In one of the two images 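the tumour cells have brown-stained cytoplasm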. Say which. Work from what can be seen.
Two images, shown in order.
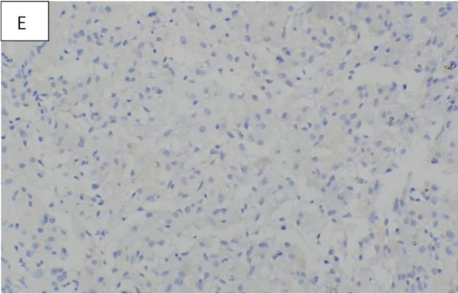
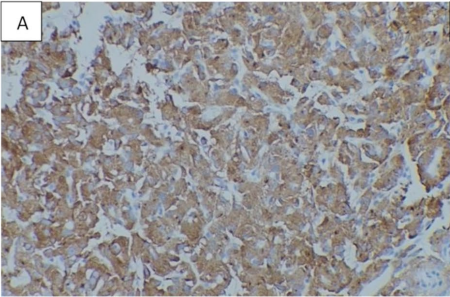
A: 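The second image. First image: the tumour cells show only blue nuclei and pale, unstained cytoplasm. Second image: the cytoplasm of nearly all tumour cells is diffusely brown.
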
